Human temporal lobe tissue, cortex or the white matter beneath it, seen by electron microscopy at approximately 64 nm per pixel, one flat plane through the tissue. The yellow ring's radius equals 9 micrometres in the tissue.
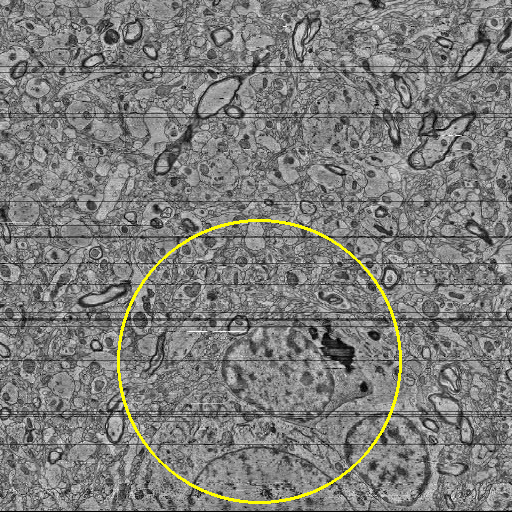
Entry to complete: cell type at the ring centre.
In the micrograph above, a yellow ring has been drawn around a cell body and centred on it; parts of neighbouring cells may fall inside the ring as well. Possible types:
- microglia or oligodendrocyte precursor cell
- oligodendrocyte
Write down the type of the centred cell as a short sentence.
The ring is centred on an oligodendrocyte.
